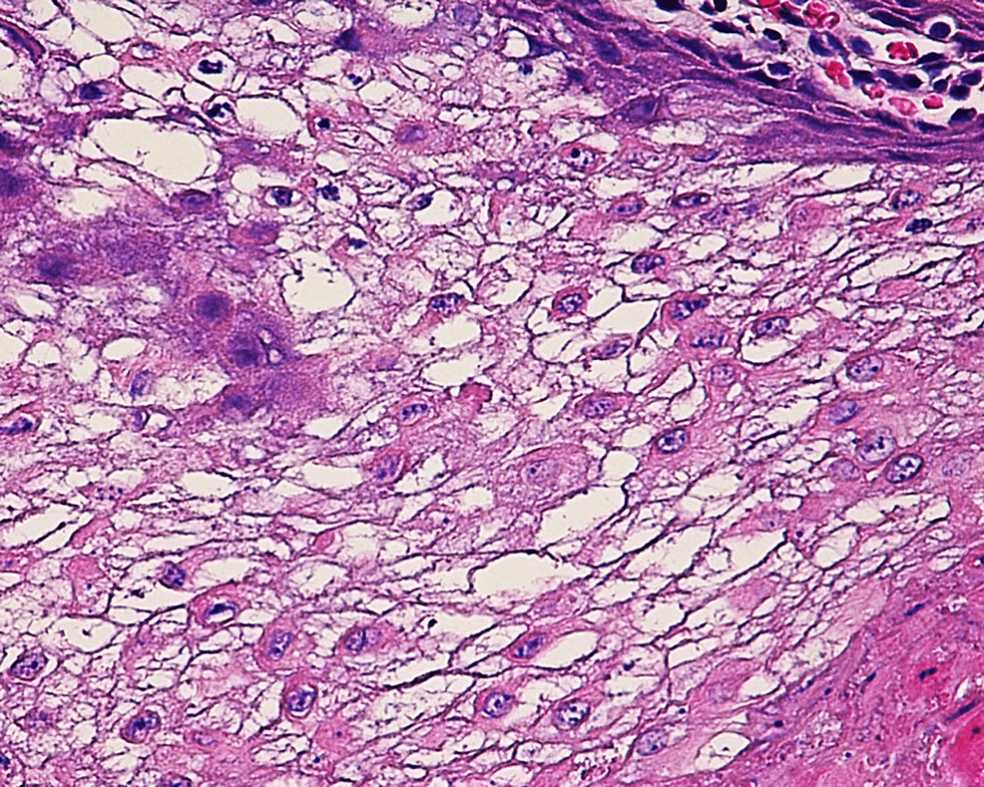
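This is a sheet of large epithelial cells whose cytoplasm is mostly pale and clear, broken up by many empty spaces. A band of darker stroma containing small red blood cells lies along the upper right edge.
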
